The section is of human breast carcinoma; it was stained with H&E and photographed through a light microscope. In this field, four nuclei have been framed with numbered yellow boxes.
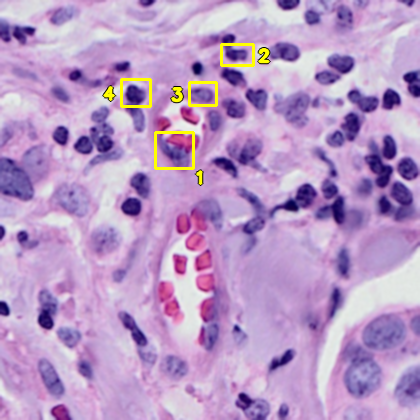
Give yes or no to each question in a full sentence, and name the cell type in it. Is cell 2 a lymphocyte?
Yes, cell number 2 is identified here as a lymphocyte.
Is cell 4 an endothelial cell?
No, cell 4 is a lymphocyte; it is not an endothelial cell.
